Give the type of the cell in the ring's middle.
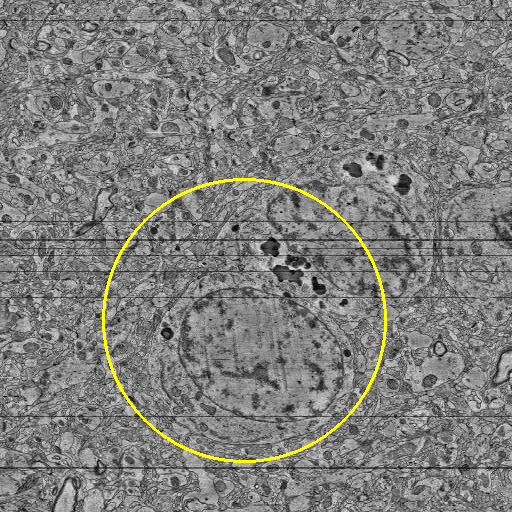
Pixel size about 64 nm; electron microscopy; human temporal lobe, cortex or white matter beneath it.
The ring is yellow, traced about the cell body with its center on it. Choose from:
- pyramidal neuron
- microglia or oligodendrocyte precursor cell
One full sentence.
Here, a pyramidal neuron is the cell lying at the center of the yellow ring.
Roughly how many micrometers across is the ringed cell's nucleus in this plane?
About 11 by 9 micrometers for the nucleus, in this plane.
